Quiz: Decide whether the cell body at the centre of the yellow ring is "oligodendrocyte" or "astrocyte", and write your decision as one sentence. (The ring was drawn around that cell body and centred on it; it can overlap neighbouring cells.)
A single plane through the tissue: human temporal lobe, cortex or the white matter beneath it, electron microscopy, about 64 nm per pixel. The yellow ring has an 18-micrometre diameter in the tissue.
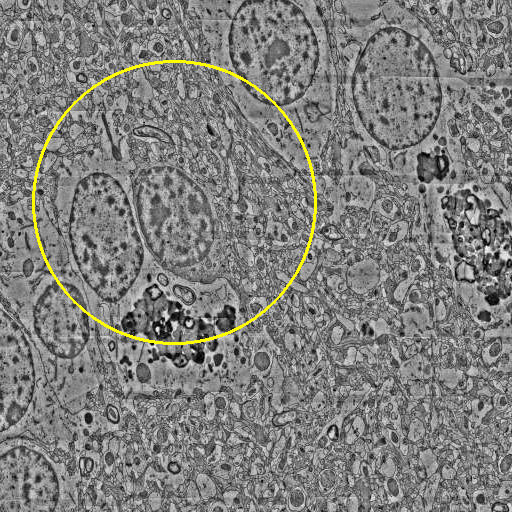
The cell the ring is centred on is an oligodendrocyte.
